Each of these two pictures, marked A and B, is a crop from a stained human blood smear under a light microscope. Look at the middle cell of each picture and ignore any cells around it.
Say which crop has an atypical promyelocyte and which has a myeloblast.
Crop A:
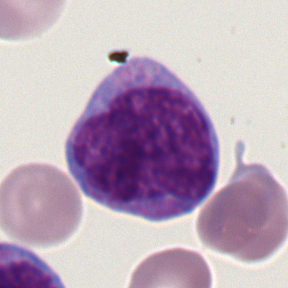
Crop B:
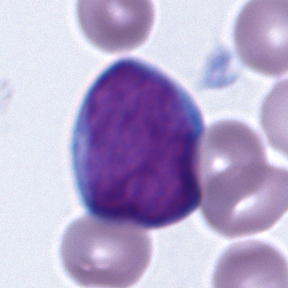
A: atypical promyelocyte
B: myeloblast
